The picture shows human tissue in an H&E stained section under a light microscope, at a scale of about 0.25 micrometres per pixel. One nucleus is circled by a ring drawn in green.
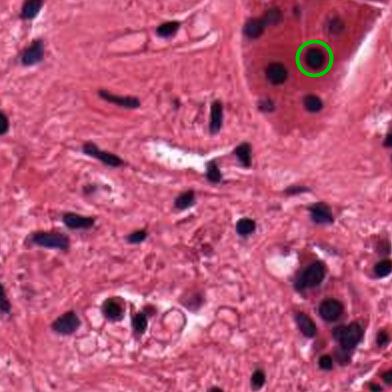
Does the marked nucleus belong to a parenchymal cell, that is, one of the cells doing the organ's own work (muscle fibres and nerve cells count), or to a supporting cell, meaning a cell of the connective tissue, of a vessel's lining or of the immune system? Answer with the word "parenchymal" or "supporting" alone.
parenchymal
